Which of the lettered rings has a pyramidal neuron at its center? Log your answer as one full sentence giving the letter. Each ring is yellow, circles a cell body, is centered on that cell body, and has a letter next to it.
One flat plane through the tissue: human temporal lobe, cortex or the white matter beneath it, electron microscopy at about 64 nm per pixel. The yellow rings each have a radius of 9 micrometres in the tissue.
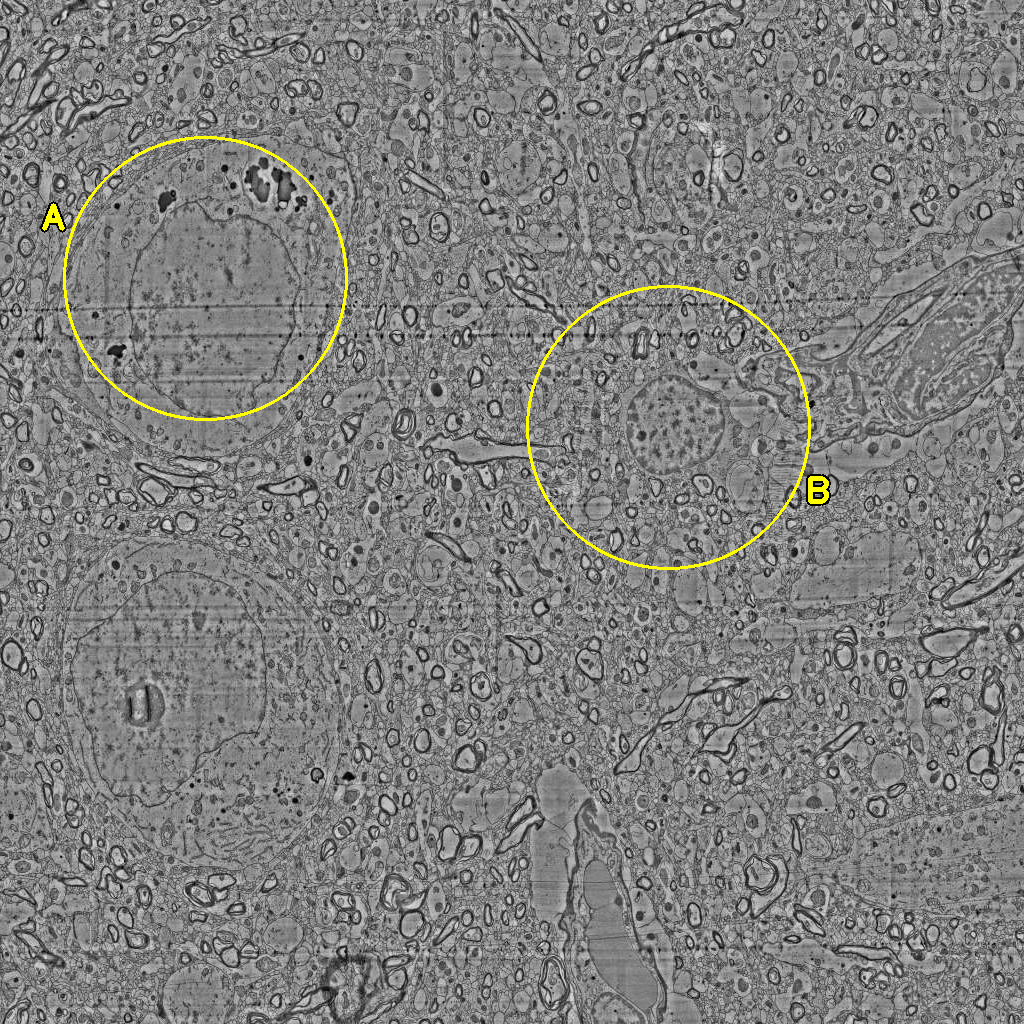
The lettered ring centered on the cell asked for is ring A.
